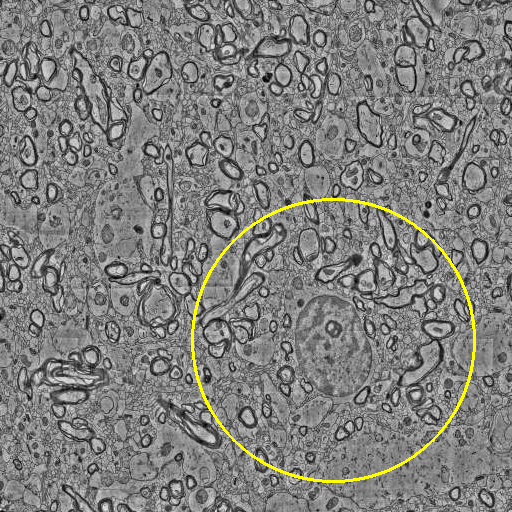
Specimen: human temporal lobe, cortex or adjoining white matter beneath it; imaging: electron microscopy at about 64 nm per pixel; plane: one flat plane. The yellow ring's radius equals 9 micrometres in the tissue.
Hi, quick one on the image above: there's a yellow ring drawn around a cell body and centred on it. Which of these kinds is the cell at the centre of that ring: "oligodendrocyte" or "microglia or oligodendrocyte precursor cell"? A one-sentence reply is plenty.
The cell at the centre of the ring is an oligodendrocyte.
